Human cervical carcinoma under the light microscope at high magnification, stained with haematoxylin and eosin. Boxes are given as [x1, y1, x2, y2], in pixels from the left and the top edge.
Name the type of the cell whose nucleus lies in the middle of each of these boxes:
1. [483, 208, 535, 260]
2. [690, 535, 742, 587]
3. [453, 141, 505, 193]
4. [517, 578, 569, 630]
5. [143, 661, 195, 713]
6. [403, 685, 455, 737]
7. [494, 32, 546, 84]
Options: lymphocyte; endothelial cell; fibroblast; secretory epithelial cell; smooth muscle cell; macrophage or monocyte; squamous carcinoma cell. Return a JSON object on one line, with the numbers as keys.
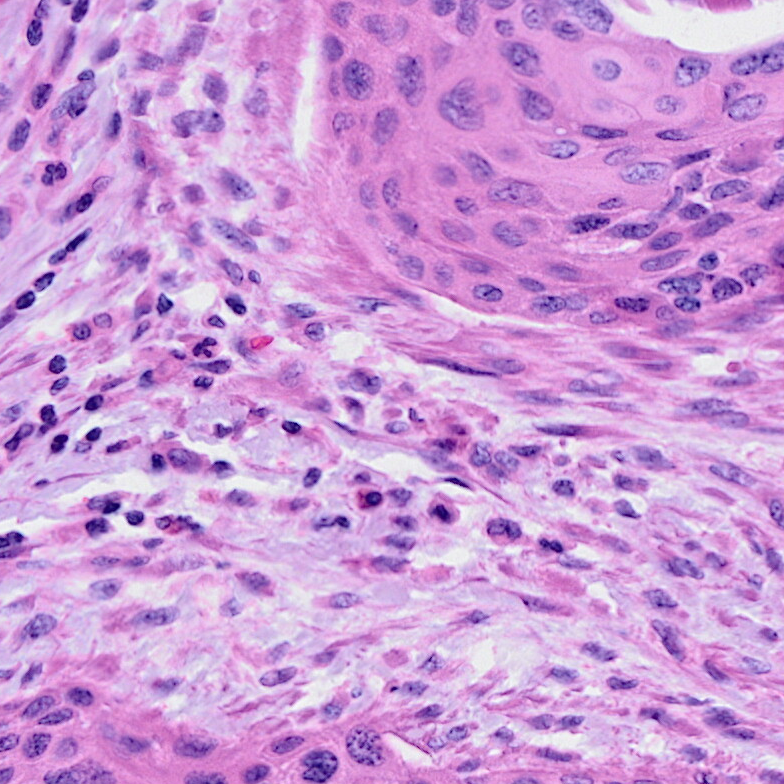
{"1": "squamous carcinoma cell", "2": "fibroblast", "3": "squamous carcinoma cell", "4": "fibroblast", "5": "fibroblast", "6": "fibroblast", "7": "squamous carcinoma cell"}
